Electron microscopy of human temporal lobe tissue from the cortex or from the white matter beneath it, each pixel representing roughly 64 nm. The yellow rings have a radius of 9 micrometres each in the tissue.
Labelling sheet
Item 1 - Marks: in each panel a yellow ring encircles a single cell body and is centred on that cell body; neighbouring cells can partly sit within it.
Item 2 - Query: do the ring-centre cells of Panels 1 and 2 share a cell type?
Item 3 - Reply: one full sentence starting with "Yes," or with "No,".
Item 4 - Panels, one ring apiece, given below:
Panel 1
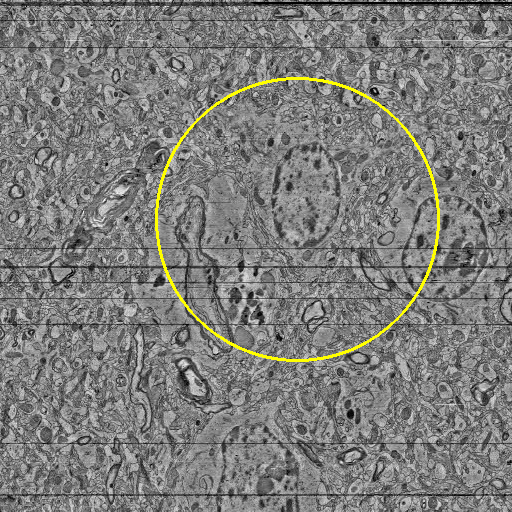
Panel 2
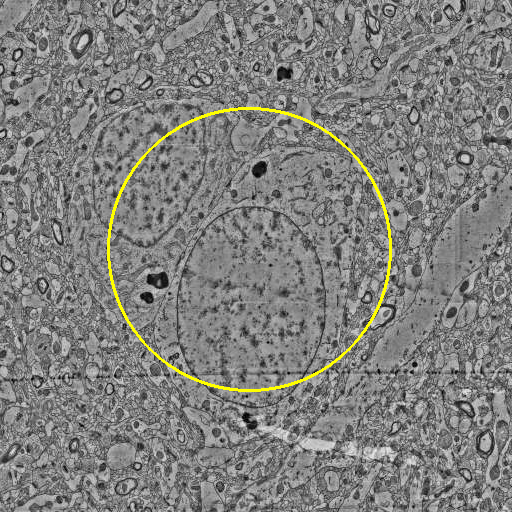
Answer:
No, Panel 1 and Panel 2 show two cell types at the centres of their rings.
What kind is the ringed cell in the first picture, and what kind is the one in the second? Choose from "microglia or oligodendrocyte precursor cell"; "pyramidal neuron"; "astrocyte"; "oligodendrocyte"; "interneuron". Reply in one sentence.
The first cell is an astrocyte; the second is a pyramidal neuron.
